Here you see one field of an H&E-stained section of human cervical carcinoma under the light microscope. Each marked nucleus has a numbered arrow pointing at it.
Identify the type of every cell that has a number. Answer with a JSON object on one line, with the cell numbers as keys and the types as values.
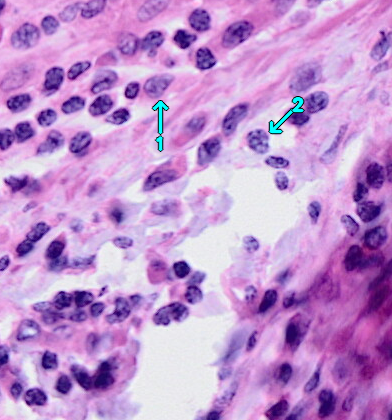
{"1": "macrophage or monocyte", "2": "lymphocyte"}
